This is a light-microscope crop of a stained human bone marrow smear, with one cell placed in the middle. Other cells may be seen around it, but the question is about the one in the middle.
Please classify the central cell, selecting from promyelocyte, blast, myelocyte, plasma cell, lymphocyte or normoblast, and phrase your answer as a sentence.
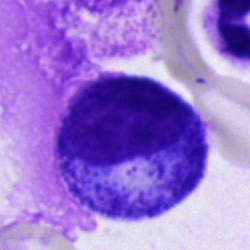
Centrally within this crop lies a promyelocyte.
